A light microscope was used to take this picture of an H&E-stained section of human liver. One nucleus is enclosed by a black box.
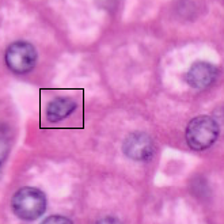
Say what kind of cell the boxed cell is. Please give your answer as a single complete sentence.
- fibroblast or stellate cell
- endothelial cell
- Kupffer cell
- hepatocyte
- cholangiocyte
As for its identity, the boxed cell is a fibroblast or stellate cell.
